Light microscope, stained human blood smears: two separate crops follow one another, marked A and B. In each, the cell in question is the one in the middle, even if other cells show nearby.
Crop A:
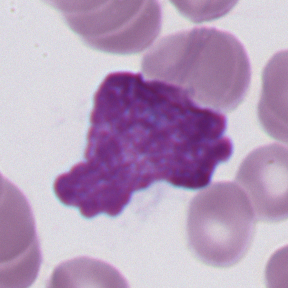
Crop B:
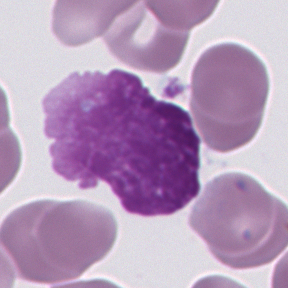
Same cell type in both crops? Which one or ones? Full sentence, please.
Yes, both crops do show smudge cells in the middle.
